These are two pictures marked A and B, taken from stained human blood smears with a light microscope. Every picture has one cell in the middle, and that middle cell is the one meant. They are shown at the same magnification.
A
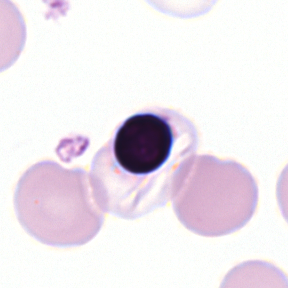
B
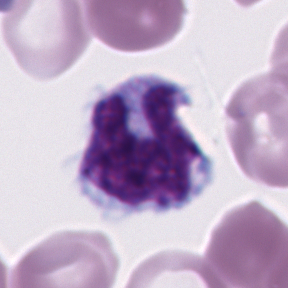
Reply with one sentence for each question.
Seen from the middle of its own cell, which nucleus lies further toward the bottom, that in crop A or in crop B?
Seen within its cell, the nucleus in crop B lies further toward the bottom.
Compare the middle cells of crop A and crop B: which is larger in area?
Larger is the cell in crop B, at roughly 2 times the area of the other.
